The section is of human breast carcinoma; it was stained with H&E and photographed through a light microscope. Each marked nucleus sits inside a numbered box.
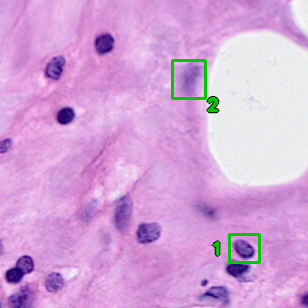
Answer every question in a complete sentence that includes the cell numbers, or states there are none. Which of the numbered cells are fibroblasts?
Only cell 2 qualifies as a fibroblast among the numbered cells.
